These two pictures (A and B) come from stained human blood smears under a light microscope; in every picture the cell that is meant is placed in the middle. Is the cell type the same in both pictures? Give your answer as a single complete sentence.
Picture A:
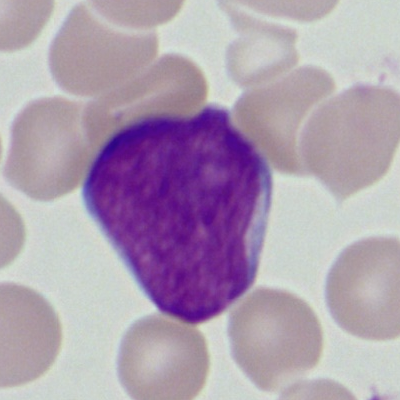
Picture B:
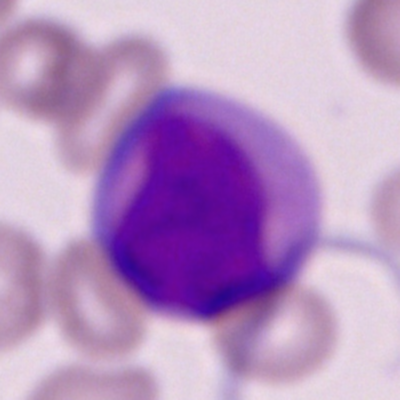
Yes; the cells in both pictures are myeloblasts.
